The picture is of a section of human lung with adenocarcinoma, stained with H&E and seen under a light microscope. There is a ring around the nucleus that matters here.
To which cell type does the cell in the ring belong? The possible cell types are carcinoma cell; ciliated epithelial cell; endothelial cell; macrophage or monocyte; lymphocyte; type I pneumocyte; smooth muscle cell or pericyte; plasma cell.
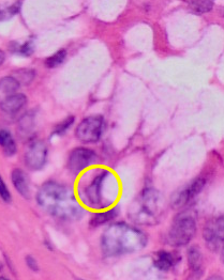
ciliated epithelial cell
